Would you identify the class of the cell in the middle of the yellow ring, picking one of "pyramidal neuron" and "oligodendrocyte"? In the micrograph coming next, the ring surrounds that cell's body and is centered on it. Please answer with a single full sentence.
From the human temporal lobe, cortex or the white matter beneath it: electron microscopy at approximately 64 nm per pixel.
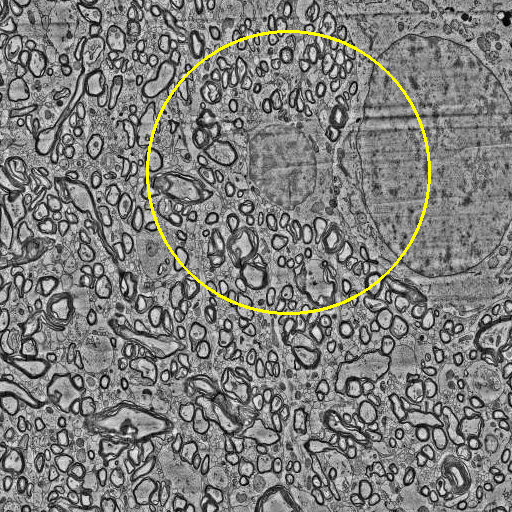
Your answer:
In the micrograph, it is an oligodendrocyte whose body lies at the ring's center.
